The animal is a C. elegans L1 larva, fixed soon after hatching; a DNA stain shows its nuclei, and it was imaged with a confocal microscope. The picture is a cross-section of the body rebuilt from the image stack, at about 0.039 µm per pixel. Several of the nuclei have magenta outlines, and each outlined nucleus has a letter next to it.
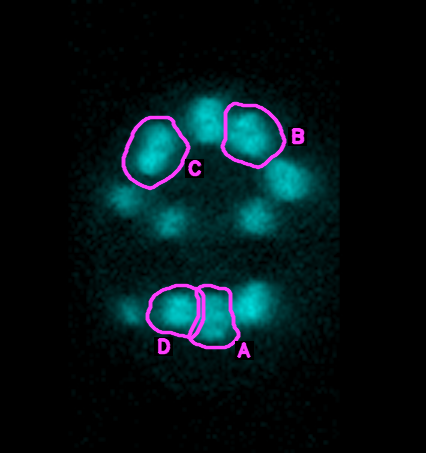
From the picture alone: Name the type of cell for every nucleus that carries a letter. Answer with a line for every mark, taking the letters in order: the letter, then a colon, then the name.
A: pharyngeal muscle cell
B: cell of the excretory system
C: cell of the excretory system
D: neuron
